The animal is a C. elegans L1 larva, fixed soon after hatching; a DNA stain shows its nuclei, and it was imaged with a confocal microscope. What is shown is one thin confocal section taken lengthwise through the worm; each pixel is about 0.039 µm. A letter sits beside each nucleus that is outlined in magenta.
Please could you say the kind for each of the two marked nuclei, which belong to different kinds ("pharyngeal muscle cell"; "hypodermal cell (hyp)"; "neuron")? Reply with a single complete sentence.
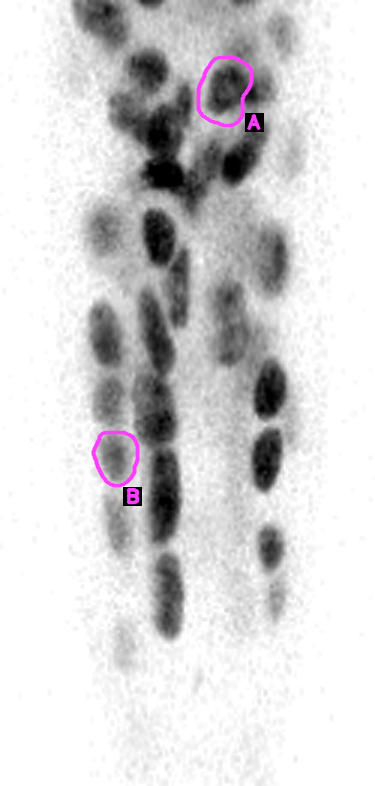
Nucleus A comes from a pharyngeal muscle cell and nucleus B from a hypodermal cell (hyp).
